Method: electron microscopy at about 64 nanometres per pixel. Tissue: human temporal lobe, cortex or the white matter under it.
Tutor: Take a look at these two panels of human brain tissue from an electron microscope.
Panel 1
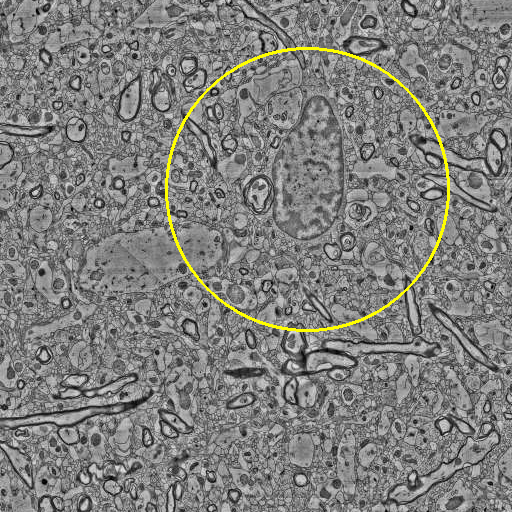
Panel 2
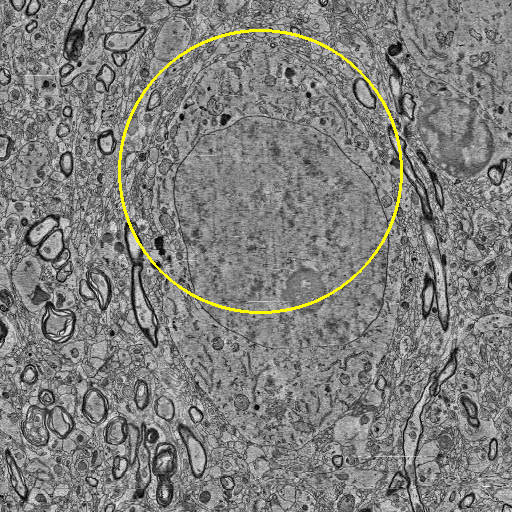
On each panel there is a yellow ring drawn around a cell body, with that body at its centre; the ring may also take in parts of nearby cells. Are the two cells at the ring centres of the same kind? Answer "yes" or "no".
no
